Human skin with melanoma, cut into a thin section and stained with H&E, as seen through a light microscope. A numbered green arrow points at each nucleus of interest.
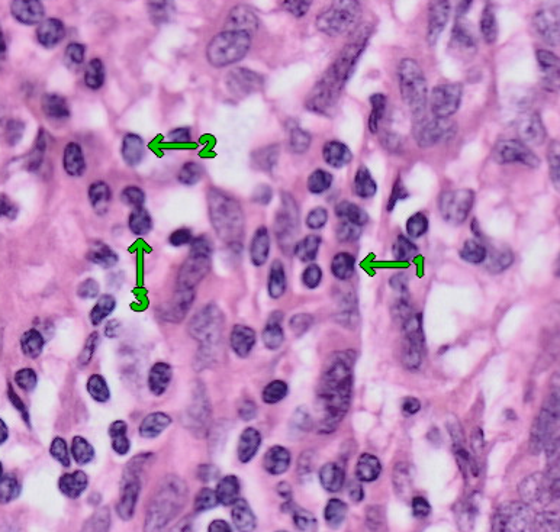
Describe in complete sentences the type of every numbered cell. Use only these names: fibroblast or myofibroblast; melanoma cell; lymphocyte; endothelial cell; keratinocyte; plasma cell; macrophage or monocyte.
Cell 1 is a plasma cell. Cells 2 and 3 are lymphocytes.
